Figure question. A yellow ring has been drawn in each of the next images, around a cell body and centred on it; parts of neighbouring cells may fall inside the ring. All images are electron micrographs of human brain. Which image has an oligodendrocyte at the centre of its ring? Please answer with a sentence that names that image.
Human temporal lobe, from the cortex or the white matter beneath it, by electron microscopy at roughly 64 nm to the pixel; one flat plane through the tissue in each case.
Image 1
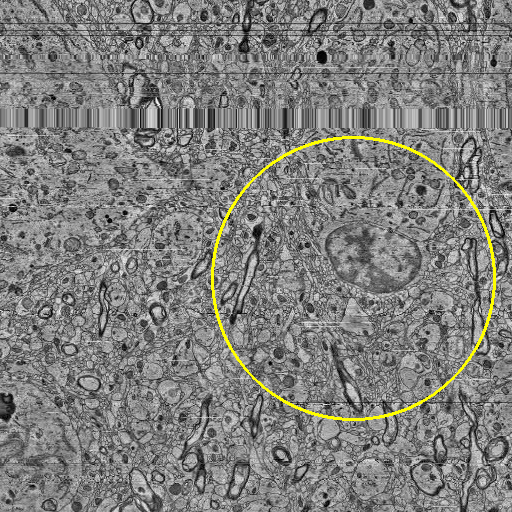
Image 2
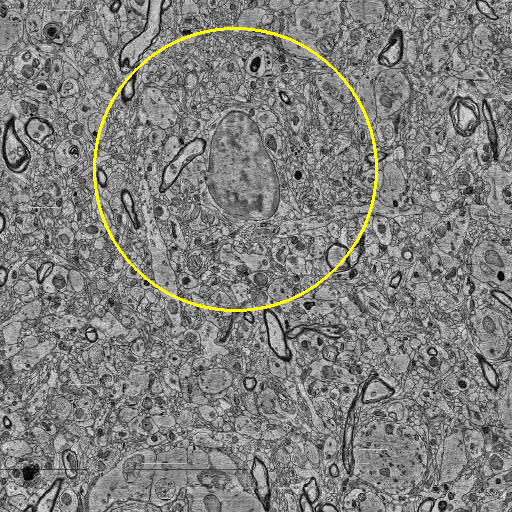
The cell at the centre of the ring in Image 1 is of that kind.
